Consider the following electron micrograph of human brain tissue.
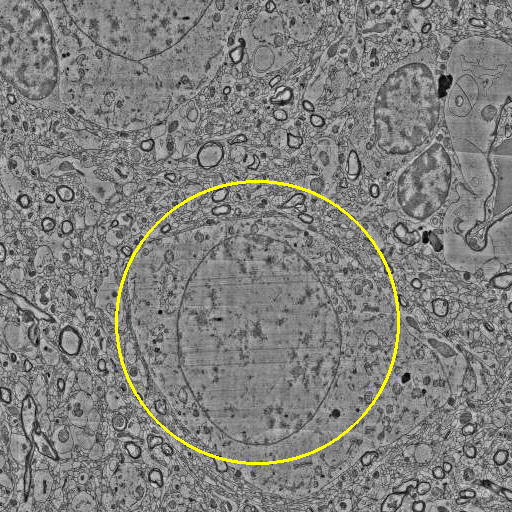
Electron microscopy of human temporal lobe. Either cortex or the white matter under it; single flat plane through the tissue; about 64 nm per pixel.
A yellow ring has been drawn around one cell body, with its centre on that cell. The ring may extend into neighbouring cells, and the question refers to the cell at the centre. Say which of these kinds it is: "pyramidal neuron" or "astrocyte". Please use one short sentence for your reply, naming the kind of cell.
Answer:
The centre of the ring falls on a pyramidal neuron.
